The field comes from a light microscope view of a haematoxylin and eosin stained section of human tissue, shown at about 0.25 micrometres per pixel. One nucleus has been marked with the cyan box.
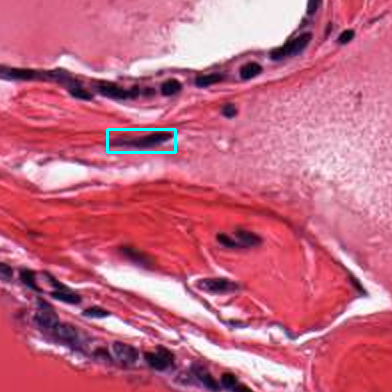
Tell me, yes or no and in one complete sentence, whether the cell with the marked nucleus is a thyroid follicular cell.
No, the marked nucleus is found in a supporting cell instead of in a thyroid follicular cell.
